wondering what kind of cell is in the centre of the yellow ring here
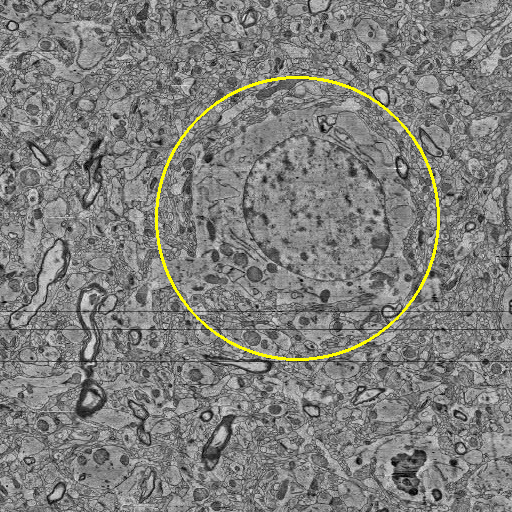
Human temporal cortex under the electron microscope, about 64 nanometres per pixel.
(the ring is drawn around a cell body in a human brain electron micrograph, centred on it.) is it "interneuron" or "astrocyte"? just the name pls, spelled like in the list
astrocyte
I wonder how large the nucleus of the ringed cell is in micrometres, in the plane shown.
In this plane the nucleus spans approximately 10 by 9 micrometers.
